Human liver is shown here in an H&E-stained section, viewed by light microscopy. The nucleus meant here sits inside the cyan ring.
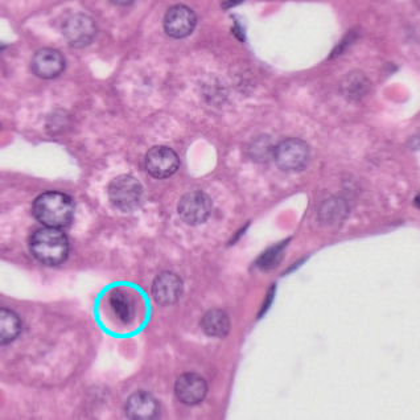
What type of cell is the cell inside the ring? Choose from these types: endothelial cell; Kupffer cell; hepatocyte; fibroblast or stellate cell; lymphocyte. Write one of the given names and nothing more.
Kupffer cell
